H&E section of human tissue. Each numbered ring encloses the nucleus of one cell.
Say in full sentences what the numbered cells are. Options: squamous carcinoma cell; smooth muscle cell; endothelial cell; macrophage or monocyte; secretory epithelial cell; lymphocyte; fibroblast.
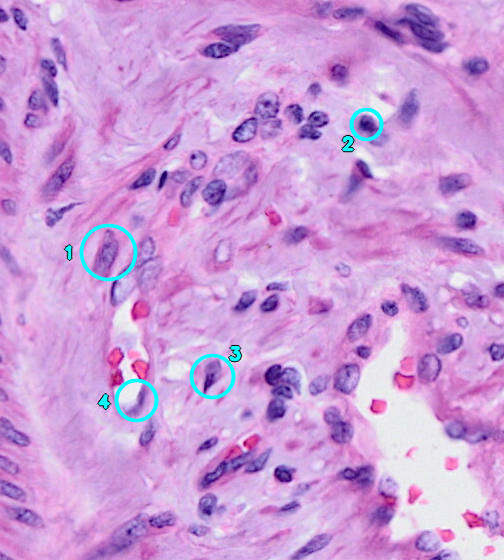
Cell 1 is a smooth muscle cell. Cell 2 is a lymphocyte. Cell 3 is a macrophage or monocyte. Cell 4 is an endothelial cell.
